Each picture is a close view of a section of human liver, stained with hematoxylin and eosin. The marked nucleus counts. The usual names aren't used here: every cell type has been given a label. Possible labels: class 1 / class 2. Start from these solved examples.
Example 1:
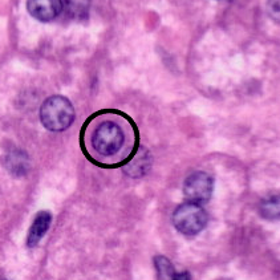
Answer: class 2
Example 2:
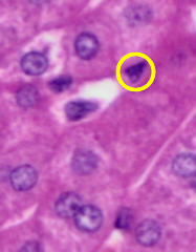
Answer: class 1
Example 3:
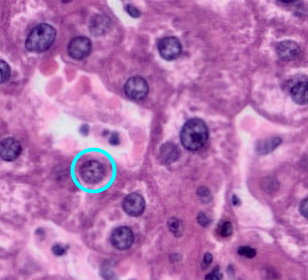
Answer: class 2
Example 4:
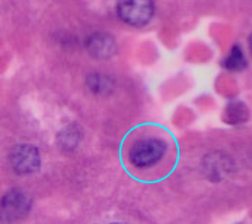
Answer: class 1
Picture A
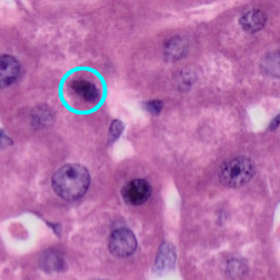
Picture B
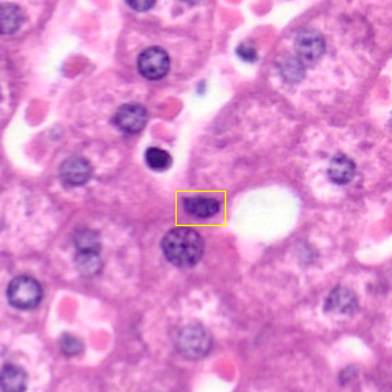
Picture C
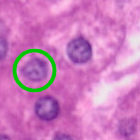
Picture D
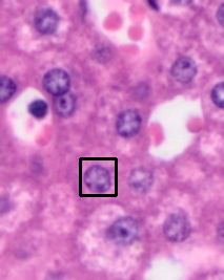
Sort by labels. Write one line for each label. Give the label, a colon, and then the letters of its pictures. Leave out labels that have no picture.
class 1: A, B
class 2: C, D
